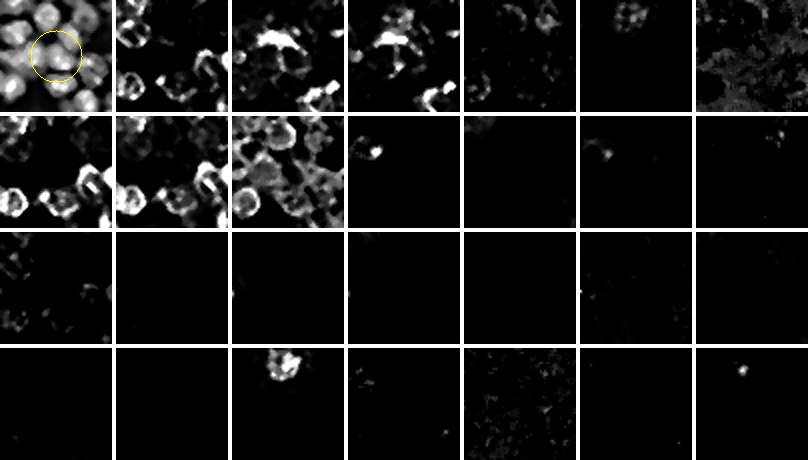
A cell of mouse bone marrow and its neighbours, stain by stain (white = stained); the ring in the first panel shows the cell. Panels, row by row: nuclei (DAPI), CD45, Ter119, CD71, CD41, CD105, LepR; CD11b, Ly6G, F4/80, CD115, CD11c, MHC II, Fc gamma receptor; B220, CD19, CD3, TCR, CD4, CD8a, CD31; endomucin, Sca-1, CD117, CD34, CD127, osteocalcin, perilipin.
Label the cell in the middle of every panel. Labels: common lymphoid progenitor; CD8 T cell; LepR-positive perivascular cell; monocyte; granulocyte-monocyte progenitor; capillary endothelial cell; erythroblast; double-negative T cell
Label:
erythroblast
